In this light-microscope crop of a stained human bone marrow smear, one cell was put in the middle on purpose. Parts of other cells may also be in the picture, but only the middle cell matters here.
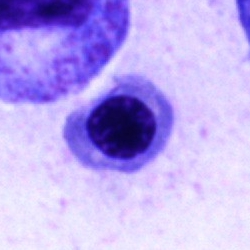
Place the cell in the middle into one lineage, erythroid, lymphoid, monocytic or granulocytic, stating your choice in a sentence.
The cell that sits at the center is attributed to the erythroid lineage.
